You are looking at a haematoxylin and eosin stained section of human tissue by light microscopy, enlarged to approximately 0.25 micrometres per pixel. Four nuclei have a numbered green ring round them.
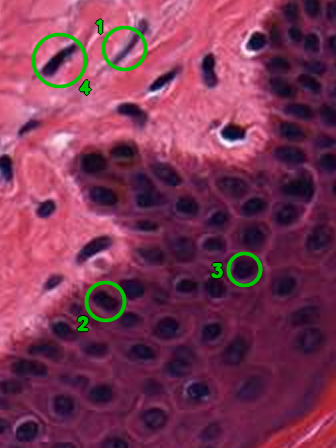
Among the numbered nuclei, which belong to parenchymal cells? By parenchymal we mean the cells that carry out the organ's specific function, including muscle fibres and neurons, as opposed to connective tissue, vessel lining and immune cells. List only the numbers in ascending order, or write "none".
2, 3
